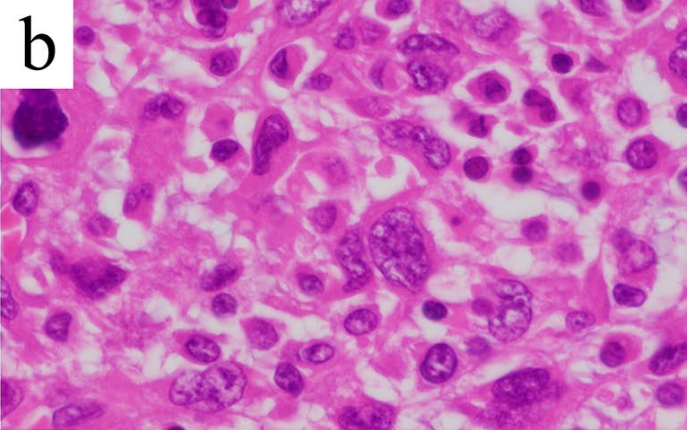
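Tumor cells at high magnification, growing diffusely without organized architecture. Nuclear size varies considerably; one very dark, enlarged hyperchromatic nucleus lies at the left edge. Smaller cells with round, dark nuclei are scattered among them. Clear spaces and loose pink material separate the cells, giving a discohesive appearance.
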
